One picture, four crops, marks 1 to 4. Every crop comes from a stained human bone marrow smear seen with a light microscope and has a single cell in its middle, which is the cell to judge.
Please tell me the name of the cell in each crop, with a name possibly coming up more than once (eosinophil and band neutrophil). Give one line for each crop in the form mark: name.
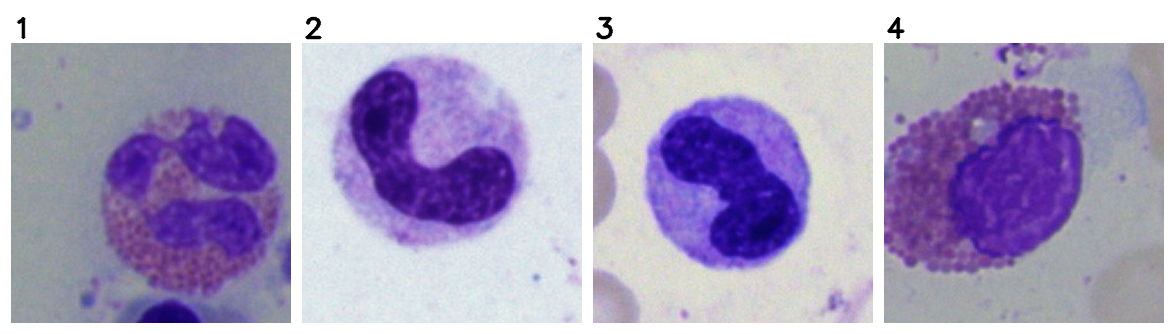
1: eosinophil
2: band neutrophil
3: band neutrophil
4: eosinophil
